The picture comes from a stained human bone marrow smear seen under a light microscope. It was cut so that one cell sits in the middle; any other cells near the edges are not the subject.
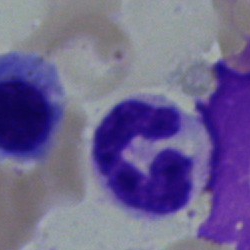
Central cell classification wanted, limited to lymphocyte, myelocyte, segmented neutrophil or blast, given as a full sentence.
The cell featured at the centre of this crop is a segmented neutrophil.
